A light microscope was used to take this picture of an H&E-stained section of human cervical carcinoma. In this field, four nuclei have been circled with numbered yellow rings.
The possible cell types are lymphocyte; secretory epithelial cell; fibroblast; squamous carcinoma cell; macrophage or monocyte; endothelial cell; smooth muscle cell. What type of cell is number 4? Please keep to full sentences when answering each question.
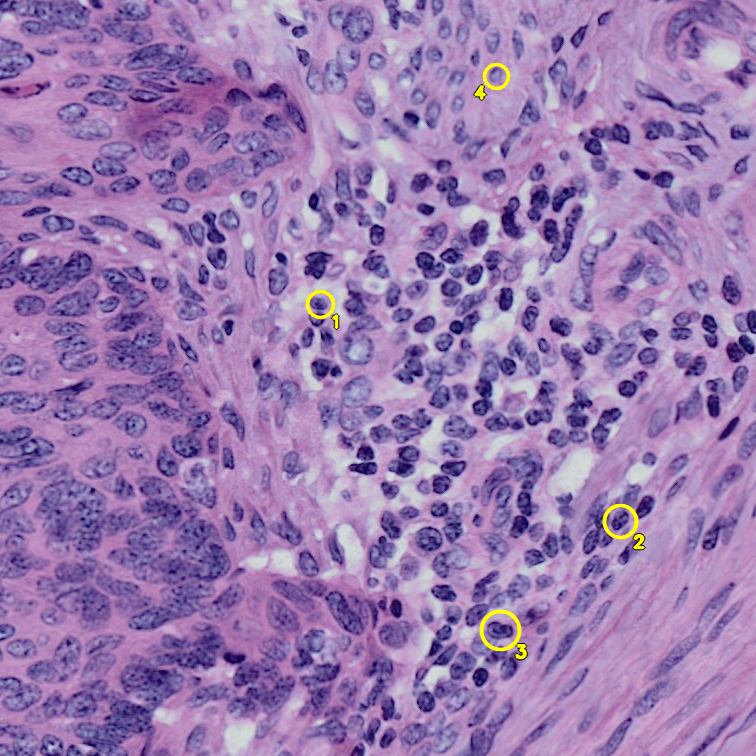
The nucleus marked 4 is the nucleus of a smooth muscle cell.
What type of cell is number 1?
The marked nucleus 1 is that of a lymphocyte.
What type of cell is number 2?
The cell bearing label 2 corresponds to a lymphocyte.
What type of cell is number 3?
The cell assigned the number 3 is a lymphocyte.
